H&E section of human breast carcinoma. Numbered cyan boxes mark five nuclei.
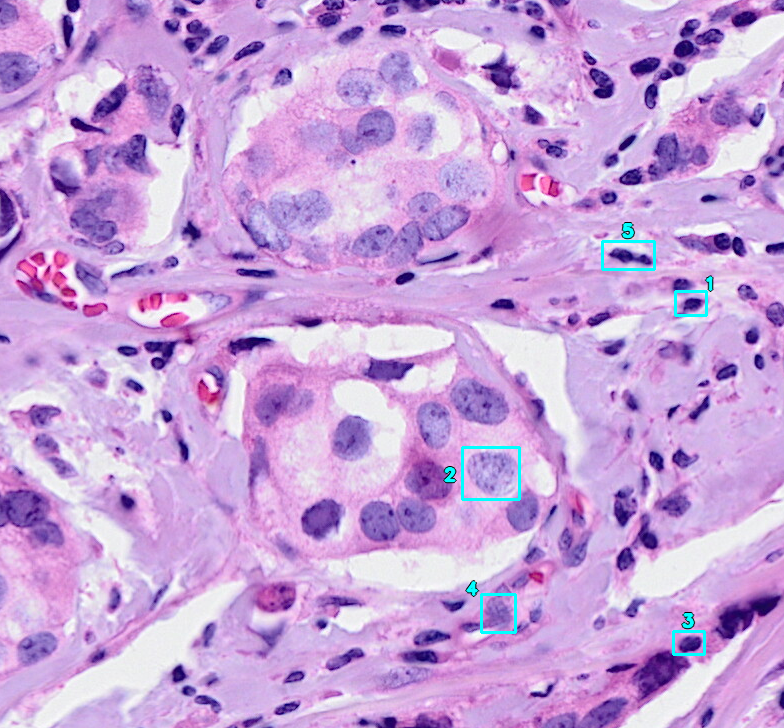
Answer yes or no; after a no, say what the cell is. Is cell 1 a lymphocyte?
Yes.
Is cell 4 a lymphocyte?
No, it is an endothelial cell.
